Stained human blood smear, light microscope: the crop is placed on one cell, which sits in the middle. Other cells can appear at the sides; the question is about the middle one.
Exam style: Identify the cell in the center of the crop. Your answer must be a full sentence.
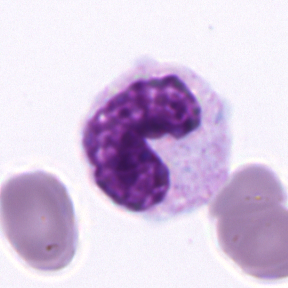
The cell in the exact centre of the crop is a band neutrophil.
